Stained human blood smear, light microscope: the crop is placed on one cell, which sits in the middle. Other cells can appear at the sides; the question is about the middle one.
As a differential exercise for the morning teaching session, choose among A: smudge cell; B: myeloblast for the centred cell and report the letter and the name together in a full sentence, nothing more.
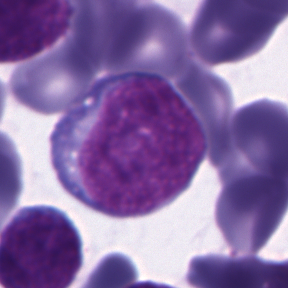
Well, the cell in the middle is a myeloblast, making option B right.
